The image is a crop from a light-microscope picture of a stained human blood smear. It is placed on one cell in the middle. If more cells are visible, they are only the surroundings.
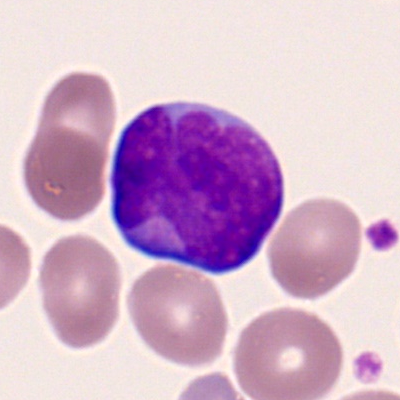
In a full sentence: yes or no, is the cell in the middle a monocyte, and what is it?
No, the middle of this crop is occupied by a myeloblast rather than a monocyte.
